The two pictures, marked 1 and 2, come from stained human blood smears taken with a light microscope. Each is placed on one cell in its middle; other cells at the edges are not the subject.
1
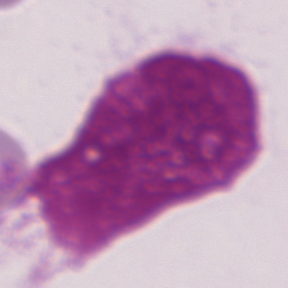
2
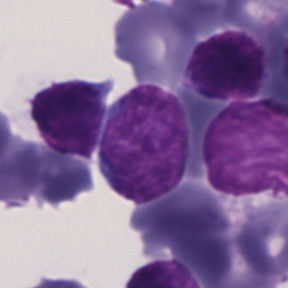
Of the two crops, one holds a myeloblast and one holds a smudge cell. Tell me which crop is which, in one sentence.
Okay, so crop 1 is a smudge cell and crop 2 is a myeloblast.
